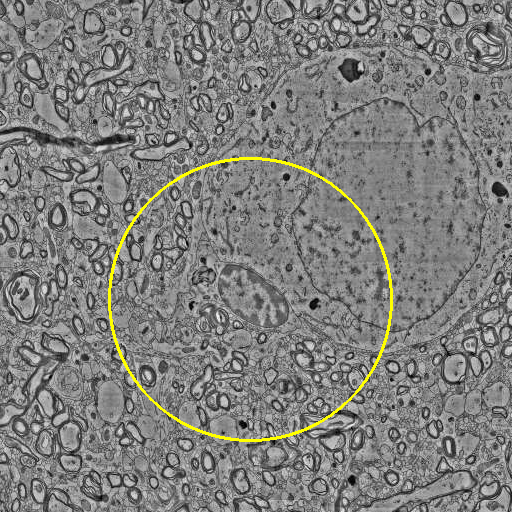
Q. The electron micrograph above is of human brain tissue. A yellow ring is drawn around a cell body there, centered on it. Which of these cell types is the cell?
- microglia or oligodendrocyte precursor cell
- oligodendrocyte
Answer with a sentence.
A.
The cell under the ring's center is a microglial cell or oligodendrocyte precursor cell.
